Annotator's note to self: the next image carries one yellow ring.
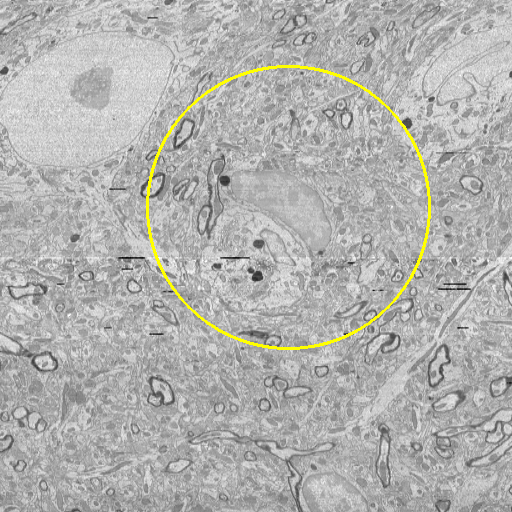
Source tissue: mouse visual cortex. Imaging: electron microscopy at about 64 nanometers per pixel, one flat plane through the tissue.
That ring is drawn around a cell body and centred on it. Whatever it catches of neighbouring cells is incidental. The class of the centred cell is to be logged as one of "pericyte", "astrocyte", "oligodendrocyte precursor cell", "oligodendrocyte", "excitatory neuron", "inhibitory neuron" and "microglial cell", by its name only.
microglial cell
